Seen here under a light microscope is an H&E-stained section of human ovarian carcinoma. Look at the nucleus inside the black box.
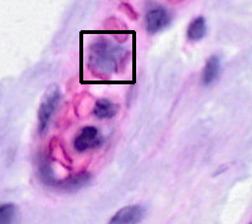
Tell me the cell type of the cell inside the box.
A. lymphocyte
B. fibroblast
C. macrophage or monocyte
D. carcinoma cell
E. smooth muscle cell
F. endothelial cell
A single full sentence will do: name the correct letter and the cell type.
Answer with option F; the cell inside the box is an endothelial cell.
